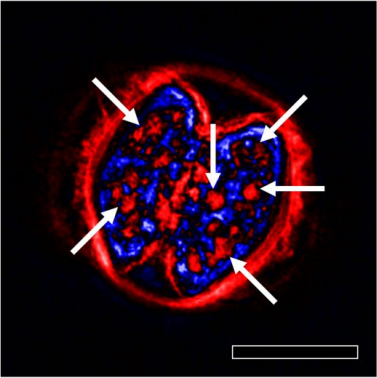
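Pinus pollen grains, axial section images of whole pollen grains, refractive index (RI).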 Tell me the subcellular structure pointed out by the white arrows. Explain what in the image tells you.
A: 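The arrows point to small rounded bright red granules. That points to this answer: Starch granules.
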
